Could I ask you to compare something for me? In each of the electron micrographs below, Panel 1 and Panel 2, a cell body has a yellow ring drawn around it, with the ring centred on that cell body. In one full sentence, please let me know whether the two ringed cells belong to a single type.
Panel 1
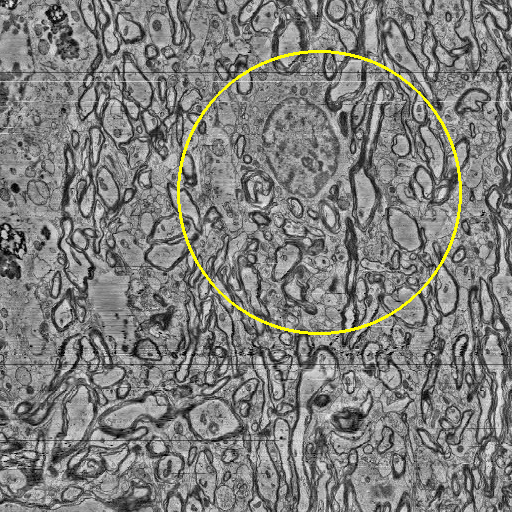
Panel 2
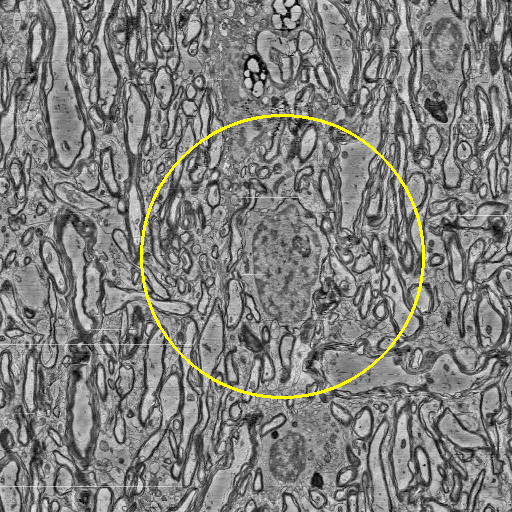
Yes, the two cells at the centres of the rings are of one type.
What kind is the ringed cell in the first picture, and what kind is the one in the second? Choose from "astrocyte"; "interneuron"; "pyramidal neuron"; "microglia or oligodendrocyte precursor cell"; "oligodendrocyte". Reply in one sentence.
Both cells are the same kind, each one being an oligodendrocyte.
